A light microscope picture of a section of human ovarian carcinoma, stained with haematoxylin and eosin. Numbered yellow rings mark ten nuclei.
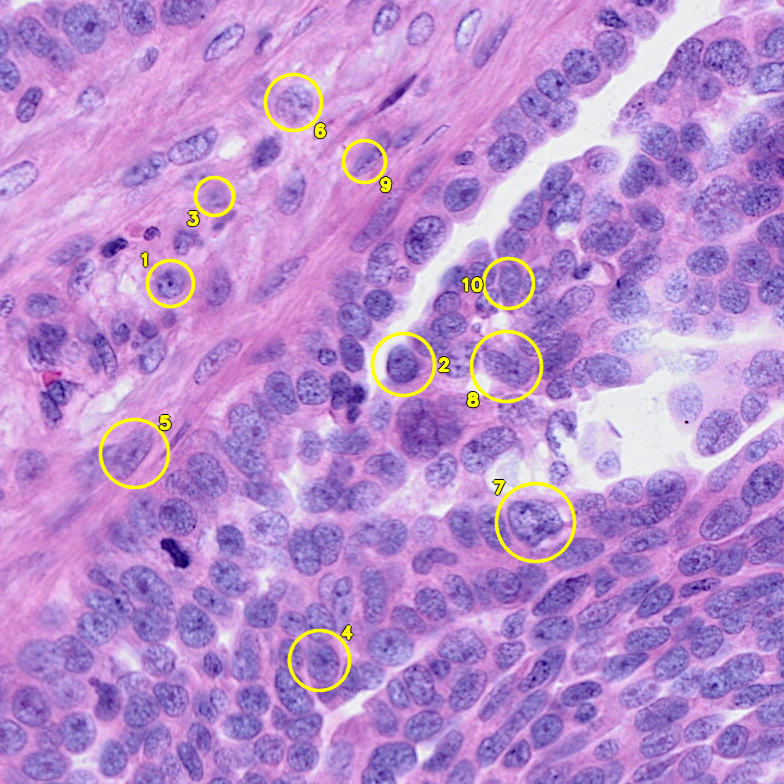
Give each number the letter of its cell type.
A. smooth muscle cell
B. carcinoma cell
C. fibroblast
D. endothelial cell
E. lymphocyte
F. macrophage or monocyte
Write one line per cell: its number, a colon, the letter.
1: C
2: B
3: C
4: B
5: C
6: C
7: B
8: B
9: C
10: B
